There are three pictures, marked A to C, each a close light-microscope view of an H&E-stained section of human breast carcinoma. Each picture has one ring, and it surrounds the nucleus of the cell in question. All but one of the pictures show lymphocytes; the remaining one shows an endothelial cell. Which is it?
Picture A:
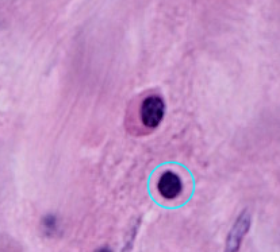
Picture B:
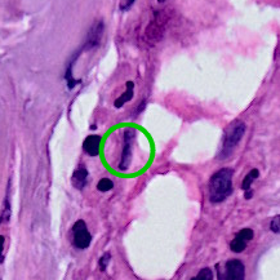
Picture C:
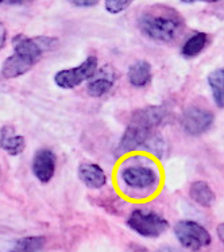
B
